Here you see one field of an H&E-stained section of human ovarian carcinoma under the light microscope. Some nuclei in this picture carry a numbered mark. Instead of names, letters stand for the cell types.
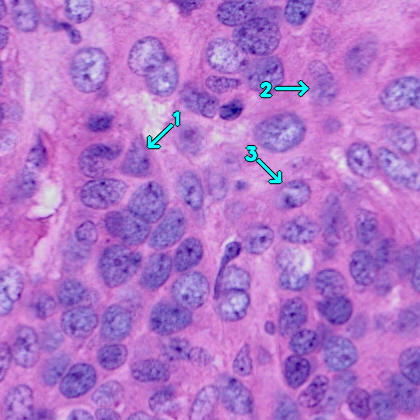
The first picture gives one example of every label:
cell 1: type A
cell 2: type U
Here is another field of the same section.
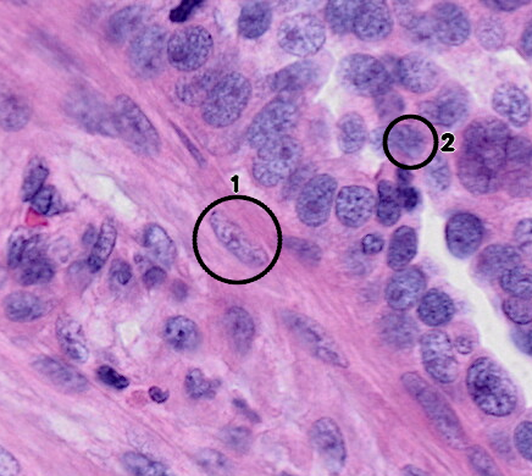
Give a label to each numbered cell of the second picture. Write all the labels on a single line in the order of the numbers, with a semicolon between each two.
type U; type A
